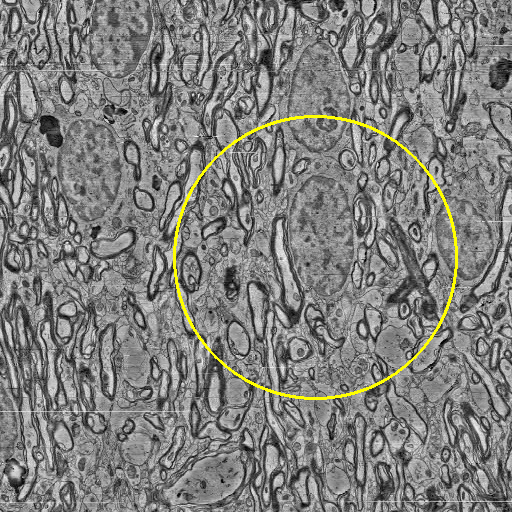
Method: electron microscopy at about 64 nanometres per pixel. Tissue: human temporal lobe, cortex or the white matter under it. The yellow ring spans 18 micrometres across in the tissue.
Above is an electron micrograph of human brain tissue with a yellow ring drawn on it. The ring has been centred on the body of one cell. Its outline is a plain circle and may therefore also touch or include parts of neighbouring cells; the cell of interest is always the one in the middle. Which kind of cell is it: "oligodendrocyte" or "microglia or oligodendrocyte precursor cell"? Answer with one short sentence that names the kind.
The ring's central cell body is that of an oligodendrocyte.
